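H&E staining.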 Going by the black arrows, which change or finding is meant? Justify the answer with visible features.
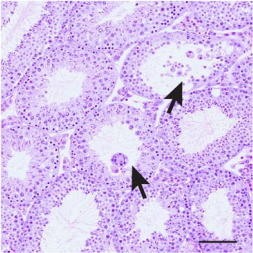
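Loose round cells float free in the lumens at the arrows. The answer: germ cell sloughing.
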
